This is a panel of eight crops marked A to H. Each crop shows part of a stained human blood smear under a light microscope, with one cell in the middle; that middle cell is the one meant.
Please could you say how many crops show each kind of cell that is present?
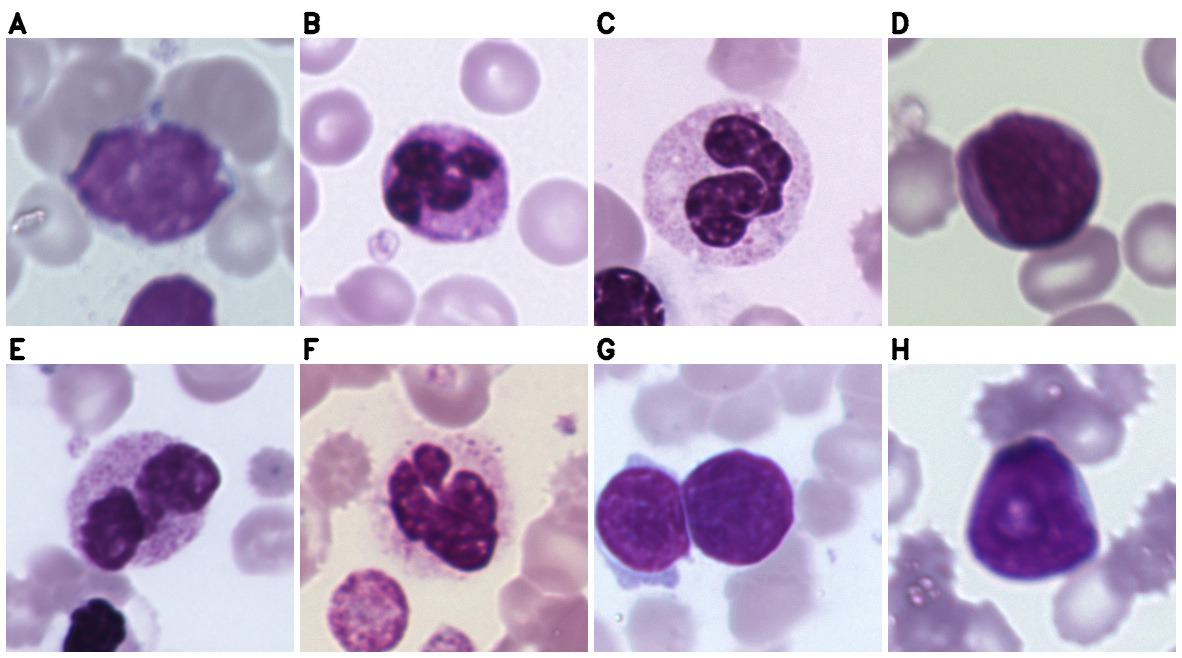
segmented neutrophil: 4
myeloblast: 3
large granular lymphocyte: 1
